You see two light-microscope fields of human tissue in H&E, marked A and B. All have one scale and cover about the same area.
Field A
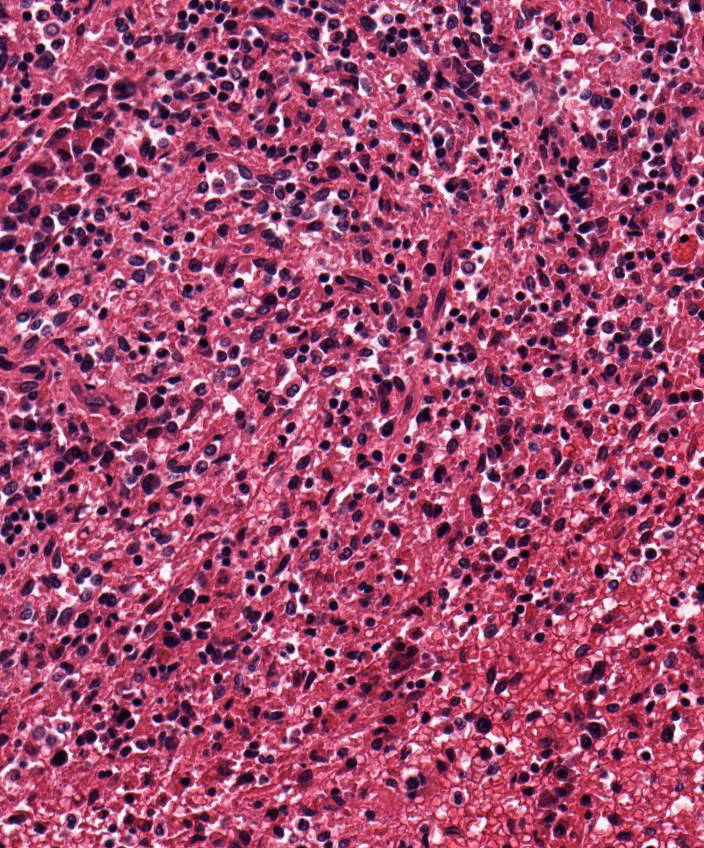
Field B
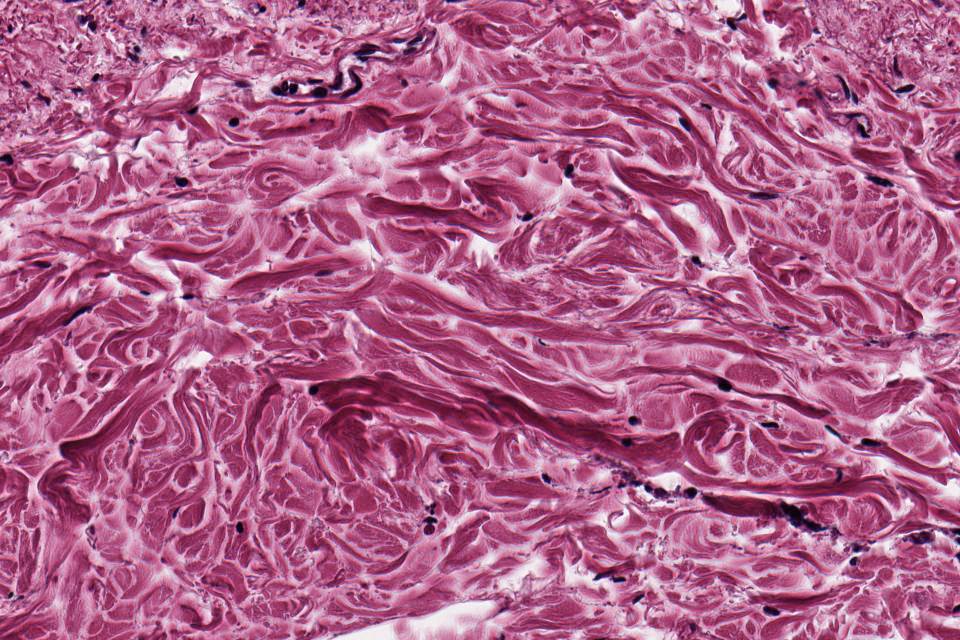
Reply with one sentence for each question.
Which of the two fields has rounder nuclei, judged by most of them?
On the whole the nuclei of field A are rounder than those of field B.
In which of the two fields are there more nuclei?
Field A holds more nuclei than field B.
